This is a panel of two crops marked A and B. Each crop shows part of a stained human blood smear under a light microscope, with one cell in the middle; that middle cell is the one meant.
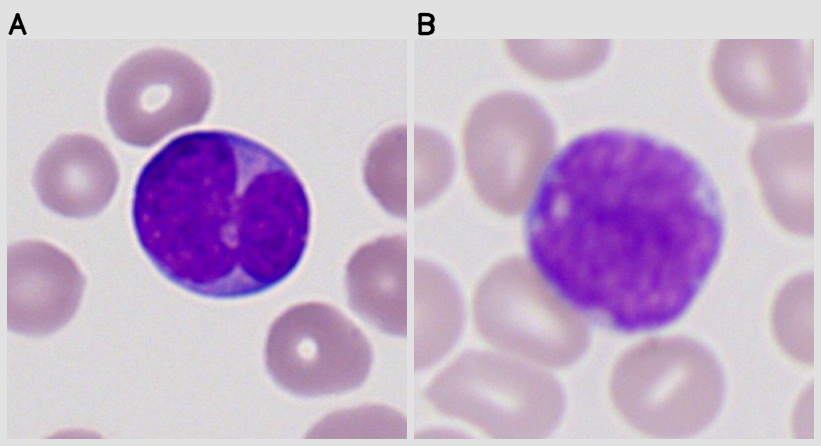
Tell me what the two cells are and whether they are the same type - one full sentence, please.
Yes, the cells at the centre of both crops are myeloblasts.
